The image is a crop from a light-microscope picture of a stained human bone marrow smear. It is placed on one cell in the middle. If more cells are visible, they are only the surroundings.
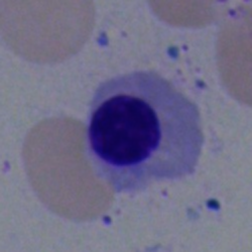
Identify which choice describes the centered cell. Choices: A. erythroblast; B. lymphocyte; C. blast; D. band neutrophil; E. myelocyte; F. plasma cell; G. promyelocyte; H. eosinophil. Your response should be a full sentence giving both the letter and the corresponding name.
What sits in the middle of the crop is an erythroblast, and option A is correct.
